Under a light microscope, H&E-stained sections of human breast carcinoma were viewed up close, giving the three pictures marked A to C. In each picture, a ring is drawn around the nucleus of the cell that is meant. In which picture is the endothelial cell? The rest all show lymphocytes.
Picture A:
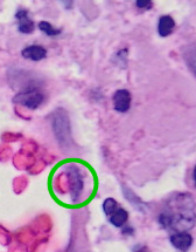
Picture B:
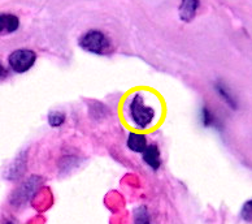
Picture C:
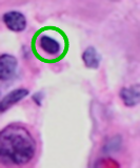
A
